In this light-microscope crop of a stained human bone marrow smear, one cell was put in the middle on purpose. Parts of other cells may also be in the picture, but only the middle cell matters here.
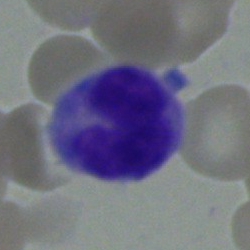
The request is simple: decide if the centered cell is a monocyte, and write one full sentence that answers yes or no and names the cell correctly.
Yes, the centre of the crop holds a monocyte.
